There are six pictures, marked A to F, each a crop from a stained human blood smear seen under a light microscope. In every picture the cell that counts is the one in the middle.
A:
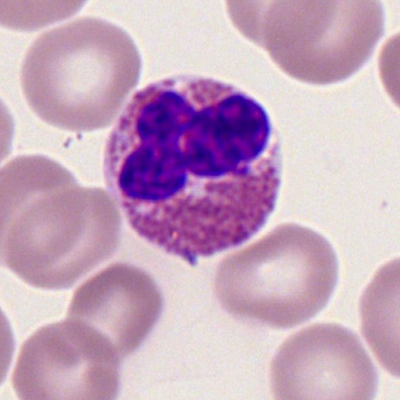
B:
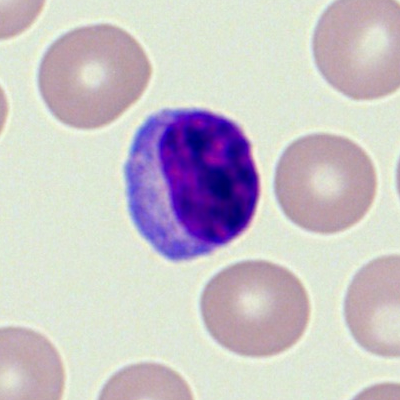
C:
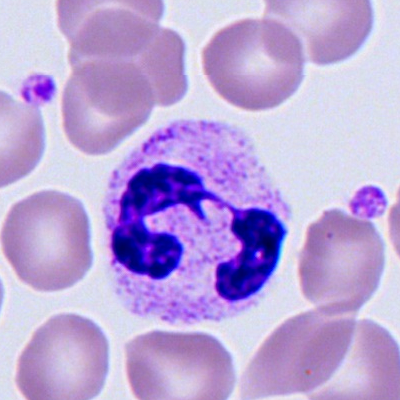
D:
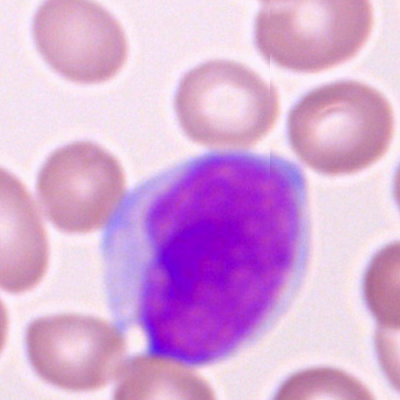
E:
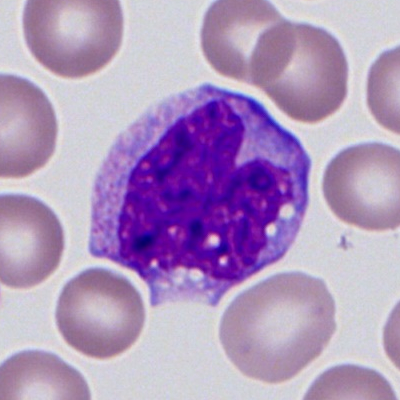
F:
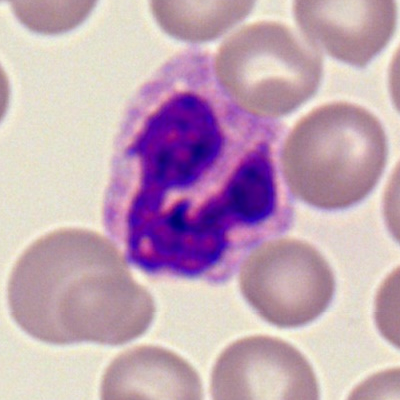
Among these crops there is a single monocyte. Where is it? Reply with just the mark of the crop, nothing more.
E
